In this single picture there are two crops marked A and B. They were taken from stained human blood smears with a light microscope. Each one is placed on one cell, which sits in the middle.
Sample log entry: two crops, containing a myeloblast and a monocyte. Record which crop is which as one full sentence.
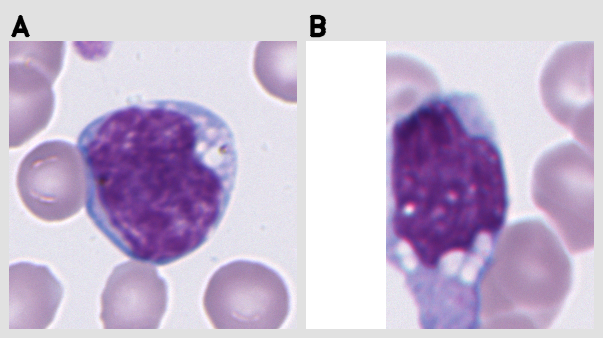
Crop A is a myeloblast, with crop B being a monocyte.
